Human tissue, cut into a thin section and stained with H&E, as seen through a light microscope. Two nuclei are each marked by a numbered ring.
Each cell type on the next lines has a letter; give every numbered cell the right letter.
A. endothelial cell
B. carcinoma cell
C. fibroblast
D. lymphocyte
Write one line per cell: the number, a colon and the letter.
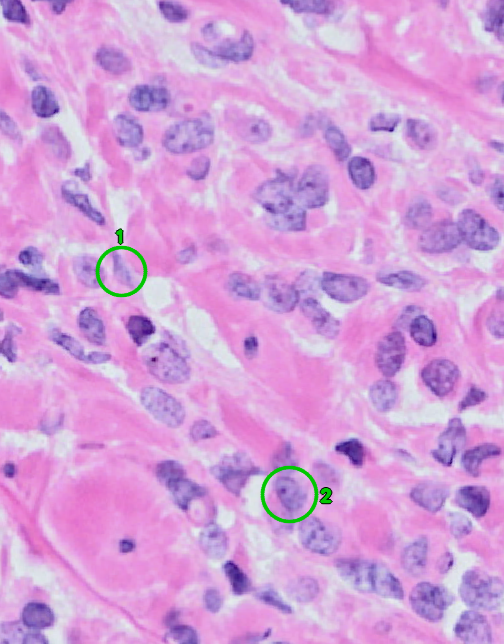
1: C
2: B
